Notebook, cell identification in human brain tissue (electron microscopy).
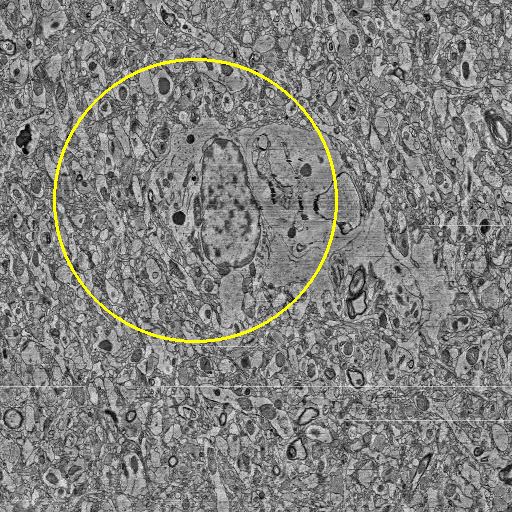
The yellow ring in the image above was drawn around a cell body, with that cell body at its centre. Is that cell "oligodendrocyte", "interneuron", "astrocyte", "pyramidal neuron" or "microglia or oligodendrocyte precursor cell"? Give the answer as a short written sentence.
The cell in the ring is a microglial cell or oligodendrocyte precursor cell.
